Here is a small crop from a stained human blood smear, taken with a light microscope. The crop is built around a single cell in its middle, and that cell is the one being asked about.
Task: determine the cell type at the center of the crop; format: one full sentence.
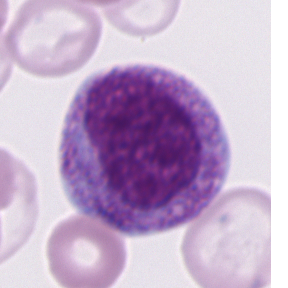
Here the cell in the middle is a myelocyte.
